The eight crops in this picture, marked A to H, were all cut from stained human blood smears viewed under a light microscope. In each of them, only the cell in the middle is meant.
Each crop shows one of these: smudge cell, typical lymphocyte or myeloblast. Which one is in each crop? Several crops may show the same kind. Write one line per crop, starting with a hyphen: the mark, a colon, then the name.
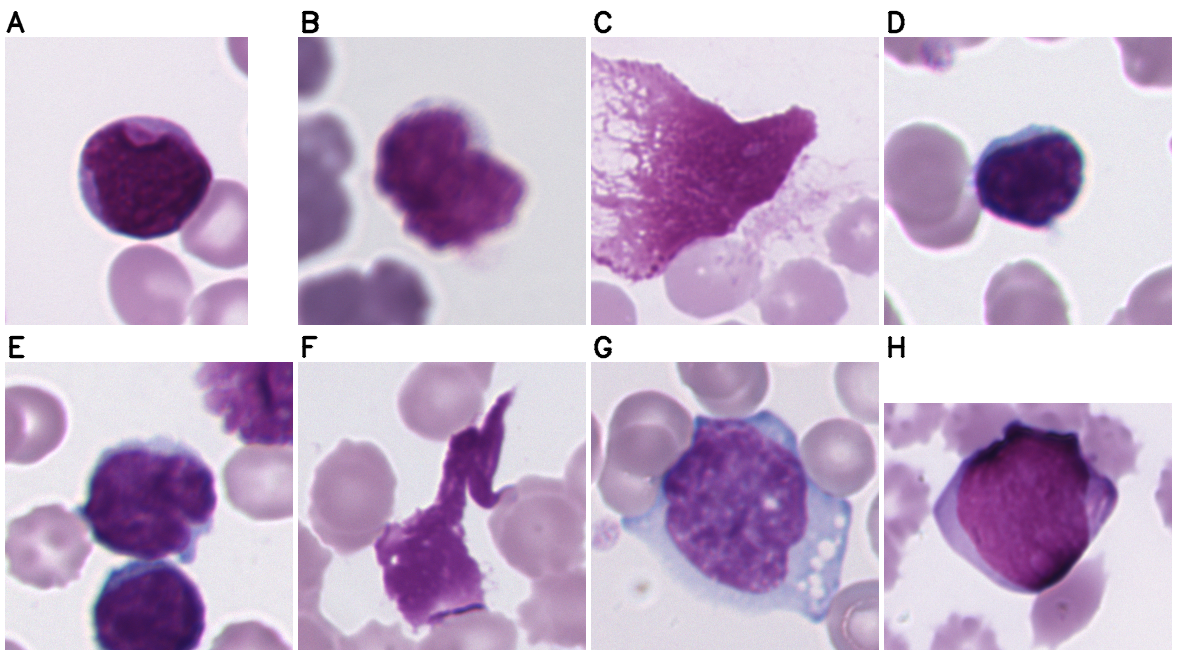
- A: myeloblast
- B: smudge cell
- C: smudge cell
- D: typical lymphocyte
- E: typical lymphocyte
- F: smudge cell
- G: myeloblast
- H: myeloblast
